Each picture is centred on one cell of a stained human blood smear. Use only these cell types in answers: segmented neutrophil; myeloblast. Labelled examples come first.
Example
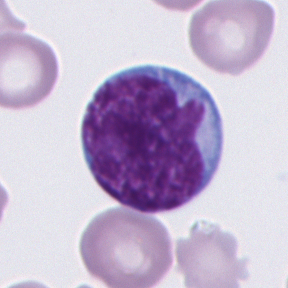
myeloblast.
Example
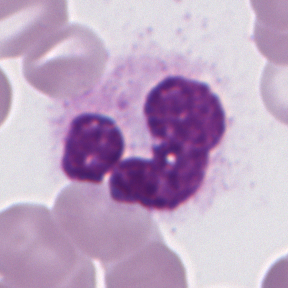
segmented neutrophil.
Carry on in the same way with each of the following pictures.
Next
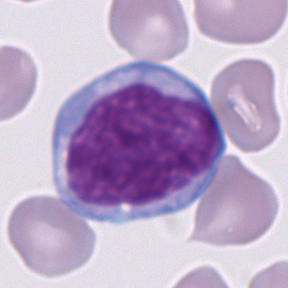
myeloblast.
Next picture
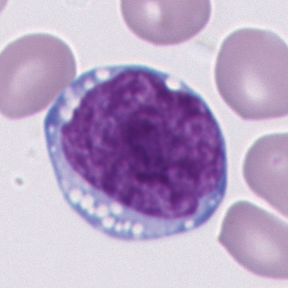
myeloblast.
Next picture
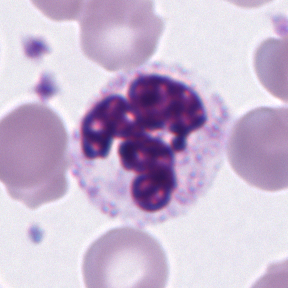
segmented neutrophil.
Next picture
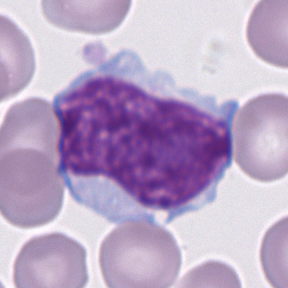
myeloblast.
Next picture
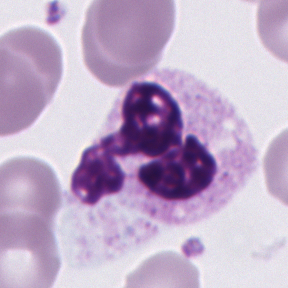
segmented neutrophil.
